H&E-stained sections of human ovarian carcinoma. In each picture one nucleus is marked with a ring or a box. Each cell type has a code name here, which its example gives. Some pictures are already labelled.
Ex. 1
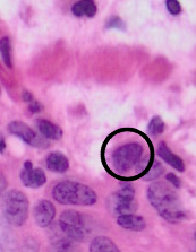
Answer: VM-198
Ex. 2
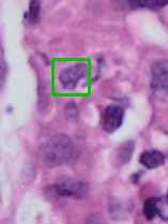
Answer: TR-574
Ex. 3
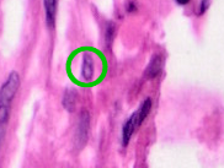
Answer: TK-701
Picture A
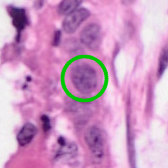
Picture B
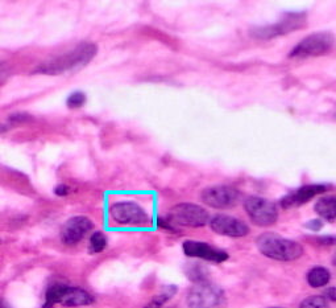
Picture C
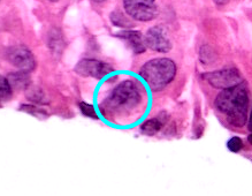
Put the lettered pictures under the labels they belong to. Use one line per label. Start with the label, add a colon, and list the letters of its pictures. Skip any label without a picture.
VM-198: A, C
TR-574: B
